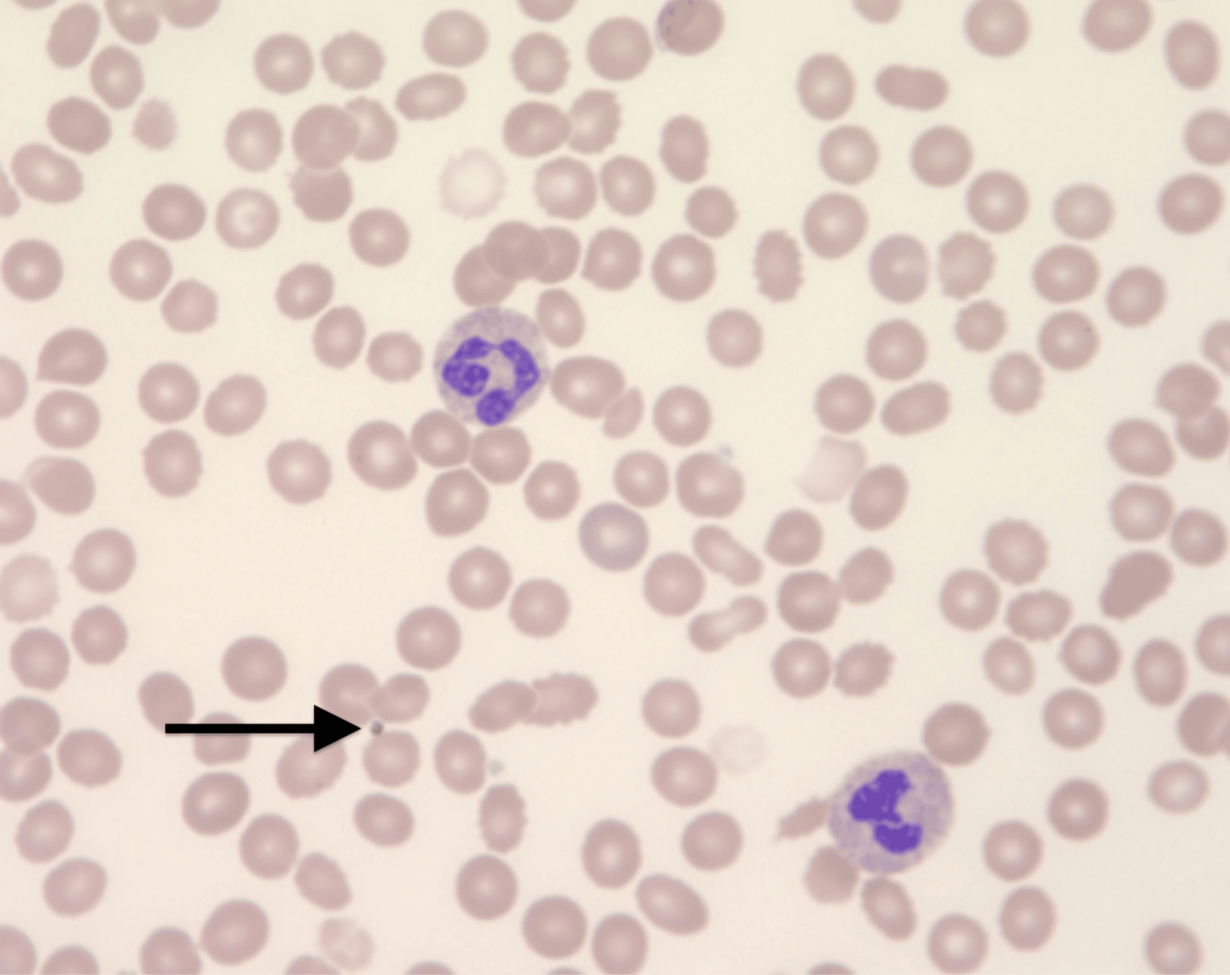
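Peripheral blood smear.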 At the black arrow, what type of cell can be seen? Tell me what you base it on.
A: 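The arrow points to a tiny dark body lying between red cells. The body is far smaller than the surrounding red cells and has no nucleus.
Platelets.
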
